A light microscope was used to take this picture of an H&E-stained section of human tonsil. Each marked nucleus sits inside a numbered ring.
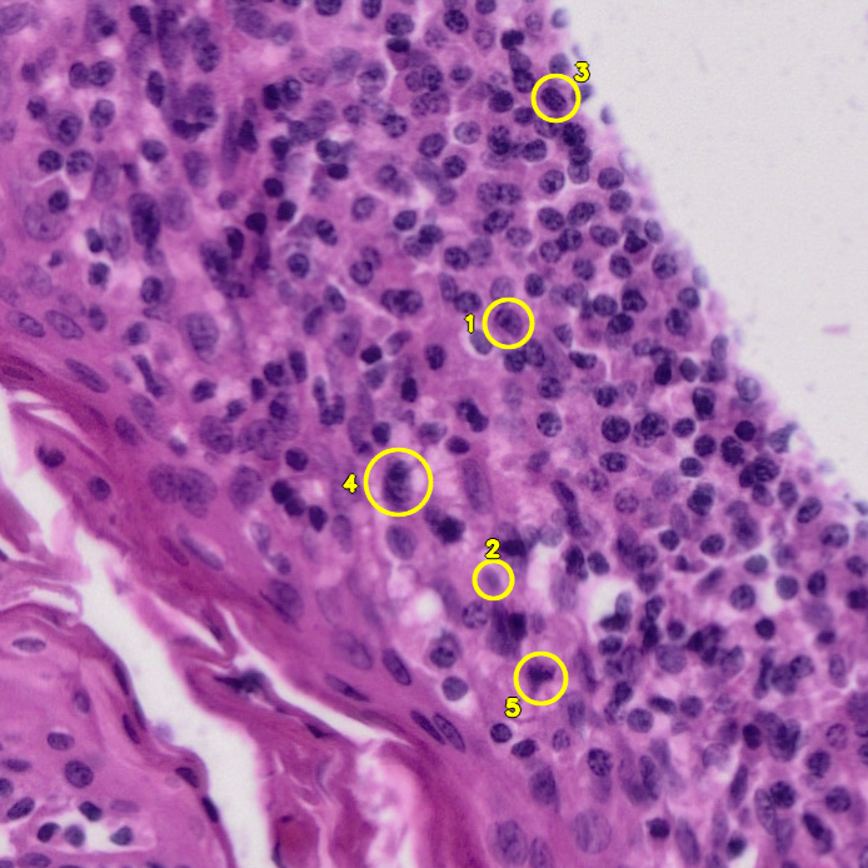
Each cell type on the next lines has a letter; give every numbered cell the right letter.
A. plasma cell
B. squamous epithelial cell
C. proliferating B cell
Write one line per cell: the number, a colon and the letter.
1: A
2: B
3: A
4: B
5: B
